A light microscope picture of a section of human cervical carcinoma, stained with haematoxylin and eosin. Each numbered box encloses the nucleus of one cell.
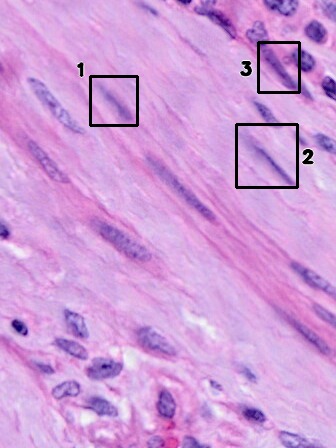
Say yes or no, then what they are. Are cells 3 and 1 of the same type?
No, cell 3 is an endothelial cell and cell 1 is a smooth muscle cell.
